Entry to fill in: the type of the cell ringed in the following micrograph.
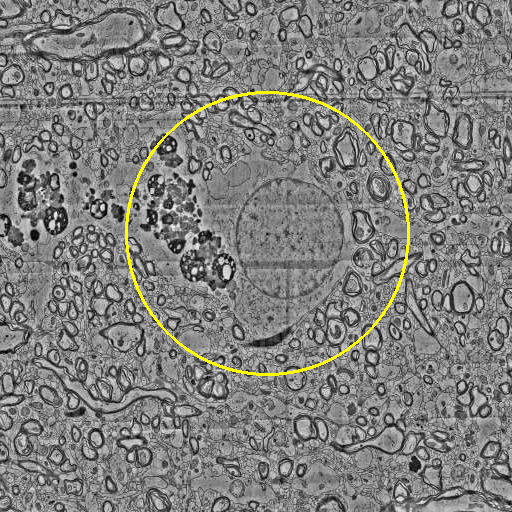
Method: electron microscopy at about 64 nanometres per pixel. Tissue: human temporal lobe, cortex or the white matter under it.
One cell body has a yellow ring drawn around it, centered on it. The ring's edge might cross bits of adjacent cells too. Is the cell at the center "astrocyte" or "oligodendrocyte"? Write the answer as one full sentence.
This entry names an astrocyte as the cell whose body lies at the ring's center.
